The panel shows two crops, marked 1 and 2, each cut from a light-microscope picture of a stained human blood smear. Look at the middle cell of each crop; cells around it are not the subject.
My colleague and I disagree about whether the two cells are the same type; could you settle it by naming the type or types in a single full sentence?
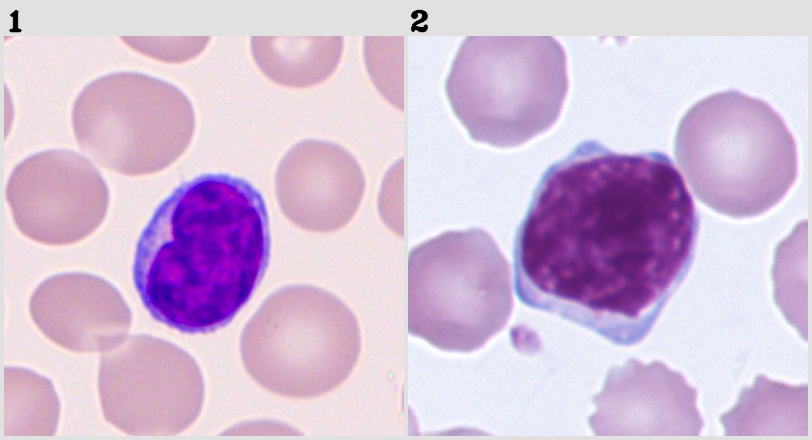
Yes, the cells at the middle of both crops are lymphocytes.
